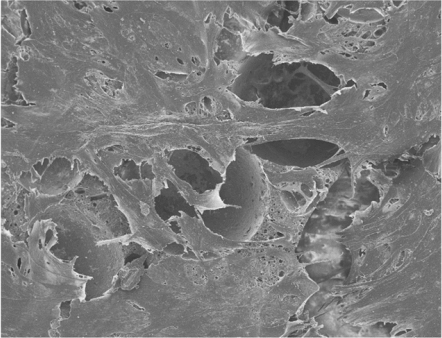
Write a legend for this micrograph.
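The cells lie spread out like a sheet, with folds and ridges where neighbouring cells overlap and stretch. Here and there rounded pores of the scaffold open through the layer, with cell strands partly spanning their edges. Small holes in the underlying material show through where the cell covering is thin.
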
